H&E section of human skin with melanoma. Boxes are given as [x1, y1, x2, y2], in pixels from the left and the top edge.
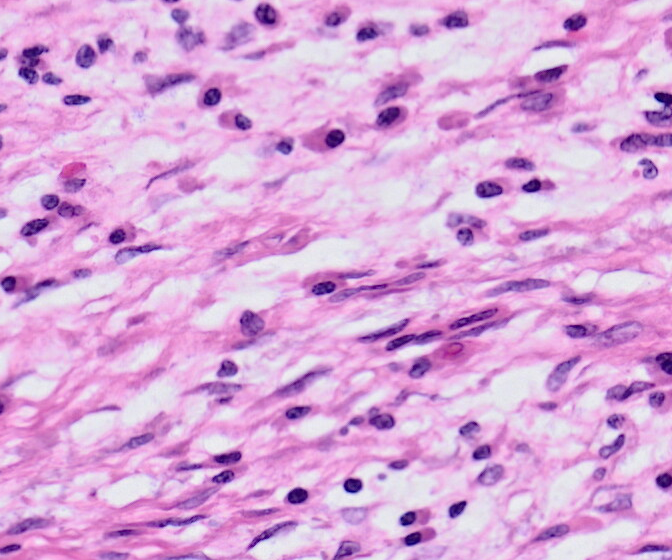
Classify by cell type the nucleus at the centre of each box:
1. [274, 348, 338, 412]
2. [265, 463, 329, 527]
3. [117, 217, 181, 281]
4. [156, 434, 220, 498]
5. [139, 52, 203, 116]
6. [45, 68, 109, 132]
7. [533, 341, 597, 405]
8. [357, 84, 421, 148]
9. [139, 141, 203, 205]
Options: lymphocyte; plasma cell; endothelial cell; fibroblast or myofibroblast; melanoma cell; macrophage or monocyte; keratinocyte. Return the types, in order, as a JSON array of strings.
["fibroblast or myofibroblast", "plasma cell", "fibroblast or myofibroblast", "fibroblast or myofibroblast", "fibroblast or myofibroblast", "lymphocyte", "macrophage or monocyte", "plasma cell", "fibroblast or myofibroblast"]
